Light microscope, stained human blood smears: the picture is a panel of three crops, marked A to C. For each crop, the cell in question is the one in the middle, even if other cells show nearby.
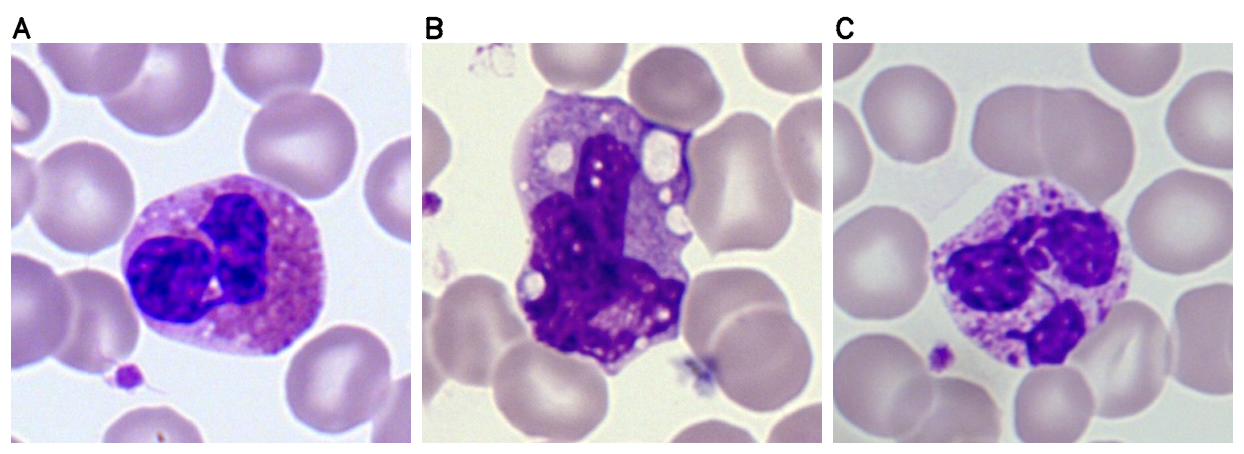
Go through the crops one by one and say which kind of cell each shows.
A: eosinophil
B: monocyte
C: basophil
